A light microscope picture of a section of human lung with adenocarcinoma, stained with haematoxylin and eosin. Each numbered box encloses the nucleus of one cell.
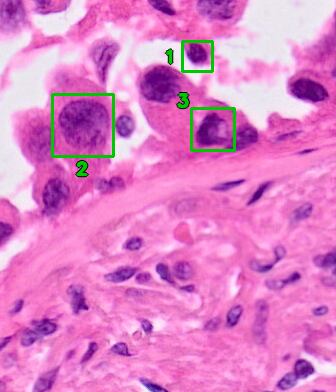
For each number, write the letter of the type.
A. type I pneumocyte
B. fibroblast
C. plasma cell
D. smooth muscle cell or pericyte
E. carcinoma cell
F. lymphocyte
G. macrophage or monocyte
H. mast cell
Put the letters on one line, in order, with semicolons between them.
F; E; E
